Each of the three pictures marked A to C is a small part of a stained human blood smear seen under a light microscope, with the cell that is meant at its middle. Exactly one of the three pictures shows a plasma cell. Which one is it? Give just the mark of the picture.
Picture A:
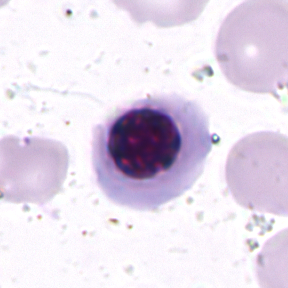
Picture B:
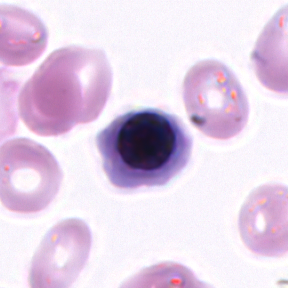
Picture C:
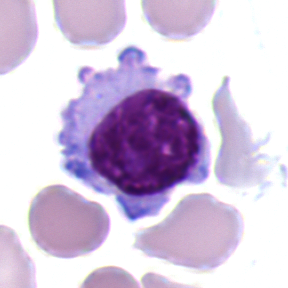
C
